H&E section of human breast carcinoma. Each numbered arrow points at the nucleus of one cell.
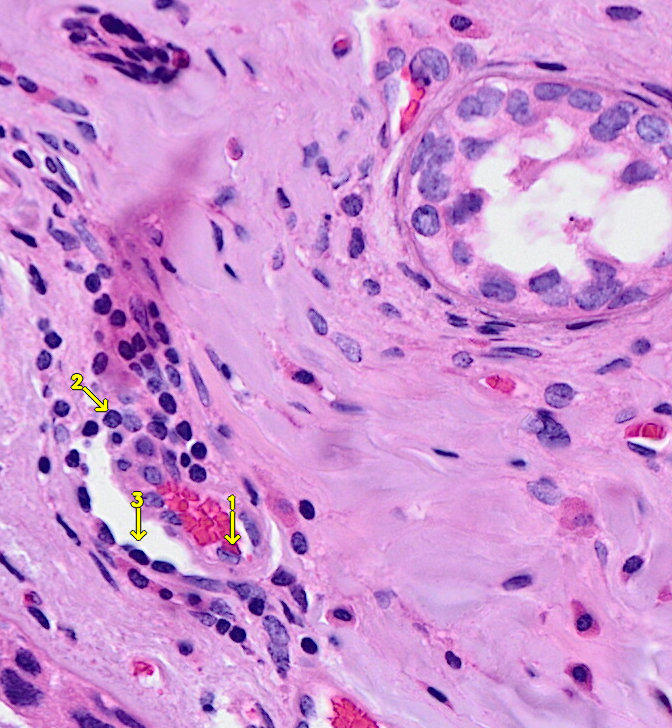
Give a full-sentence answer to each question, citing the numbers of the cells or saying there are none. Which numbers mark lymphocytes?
The numbers 2 and 3 refer to cells that are lymphocytes.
